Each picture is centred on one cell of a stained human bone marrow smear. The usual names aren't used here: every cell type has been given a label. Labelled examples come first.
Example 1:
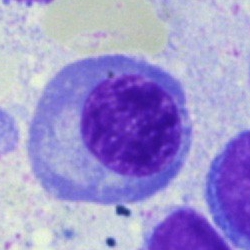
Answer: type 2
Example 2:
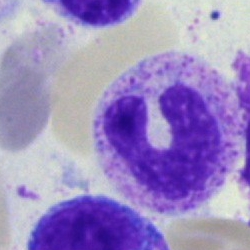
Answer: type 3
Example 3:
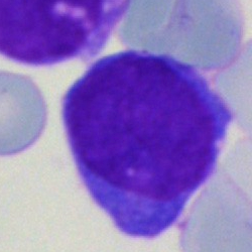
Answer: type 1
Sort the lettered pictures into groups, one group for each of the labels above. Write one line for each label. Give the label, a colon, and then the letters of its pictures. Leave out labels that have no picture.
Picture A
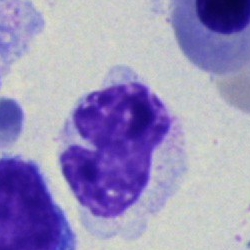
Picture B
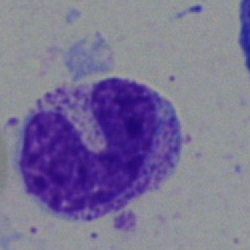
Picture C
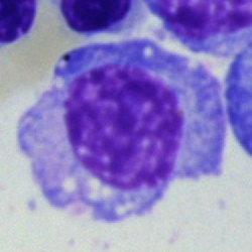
type 2: C
type 3: A, B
